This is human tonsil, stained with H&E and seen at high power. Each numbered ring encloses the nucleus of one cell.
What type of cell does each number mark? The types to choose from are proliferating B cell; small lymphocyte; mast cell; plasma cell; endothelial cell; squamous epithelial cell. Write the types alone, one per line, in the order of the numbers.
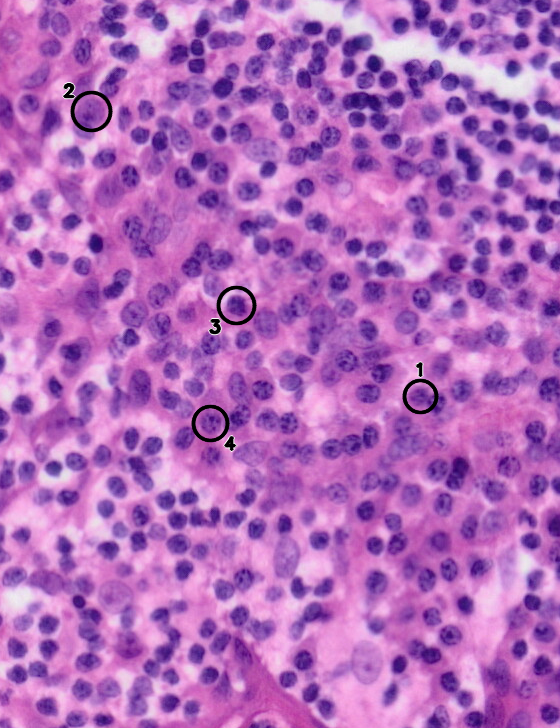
plasma cell
squamous epithelial cell
plasma cell
plasma cell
